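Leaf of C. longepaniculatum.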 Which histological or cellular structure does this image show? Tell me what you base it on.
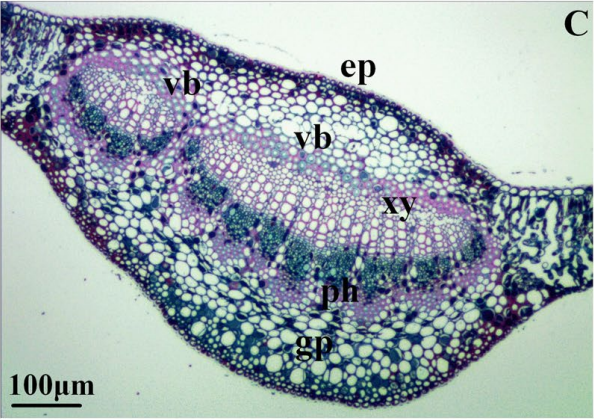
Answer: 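A thickened bulge of tissue continuous with thin leaf blade at the right edge. A large curved vascular bundle with pink xylem and dark phloem sits in the centre. Many-layered rounded parenchyma cells fill the lower part of the bulge. So: midrib cross-section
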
